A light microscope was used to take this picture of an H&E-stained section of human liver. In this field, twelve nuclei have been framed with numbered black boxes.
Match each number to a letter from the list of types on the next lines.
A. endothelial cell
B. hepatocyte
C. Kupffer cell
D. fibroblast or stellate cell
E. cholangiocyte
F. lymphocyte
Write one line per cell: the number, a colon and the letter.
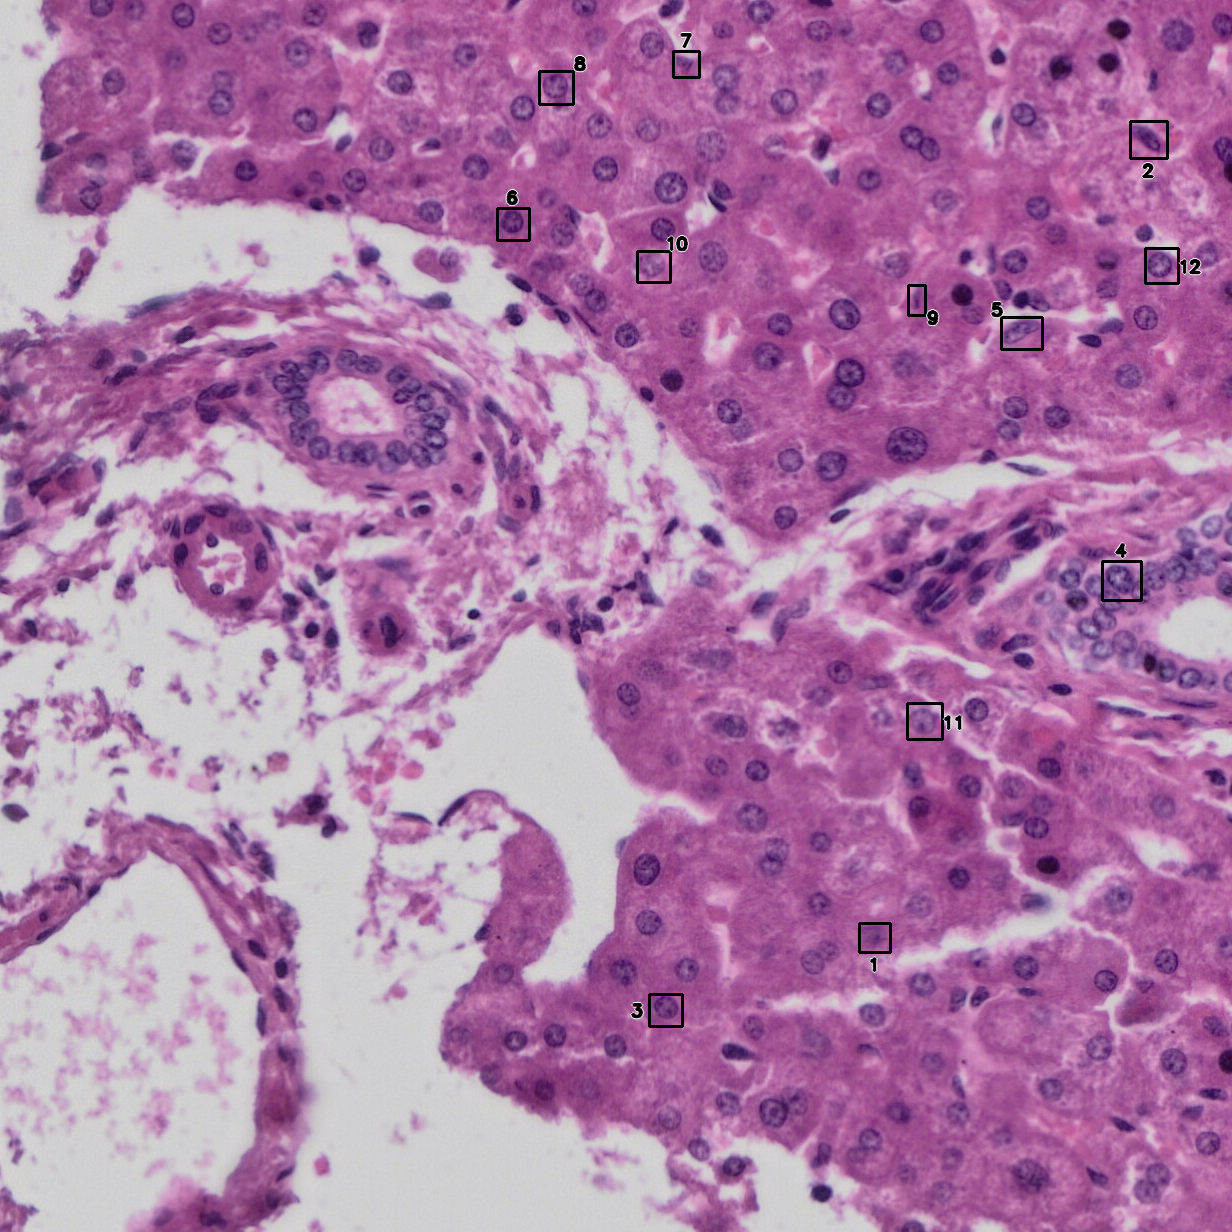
1: B
2: C
3: B
4: E
5: C
6: B
7: A
8: B
9: A
10: B
11: B
12: B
